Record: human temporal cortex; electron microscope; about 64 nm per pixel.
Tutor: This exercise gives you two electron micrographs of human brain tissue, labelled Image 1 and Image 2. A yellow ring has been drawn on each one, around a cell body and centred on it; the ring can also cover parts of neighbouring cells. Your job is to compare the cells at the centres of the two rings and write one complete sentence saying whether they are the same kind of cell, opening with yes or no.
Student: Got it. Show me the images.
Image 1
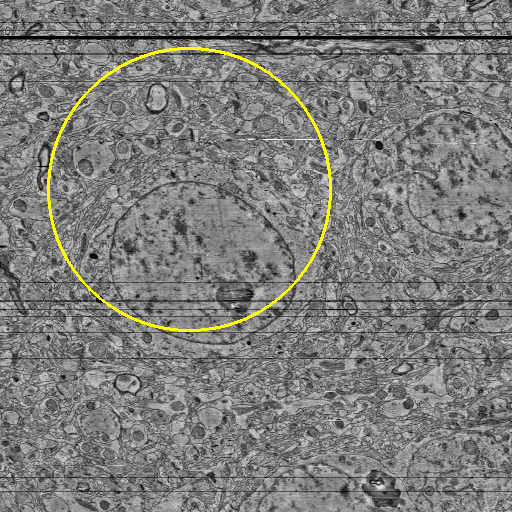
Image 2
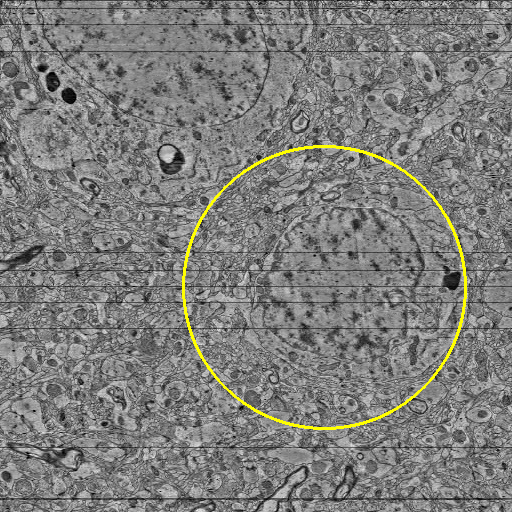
No, the two cells belong to two kinds.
